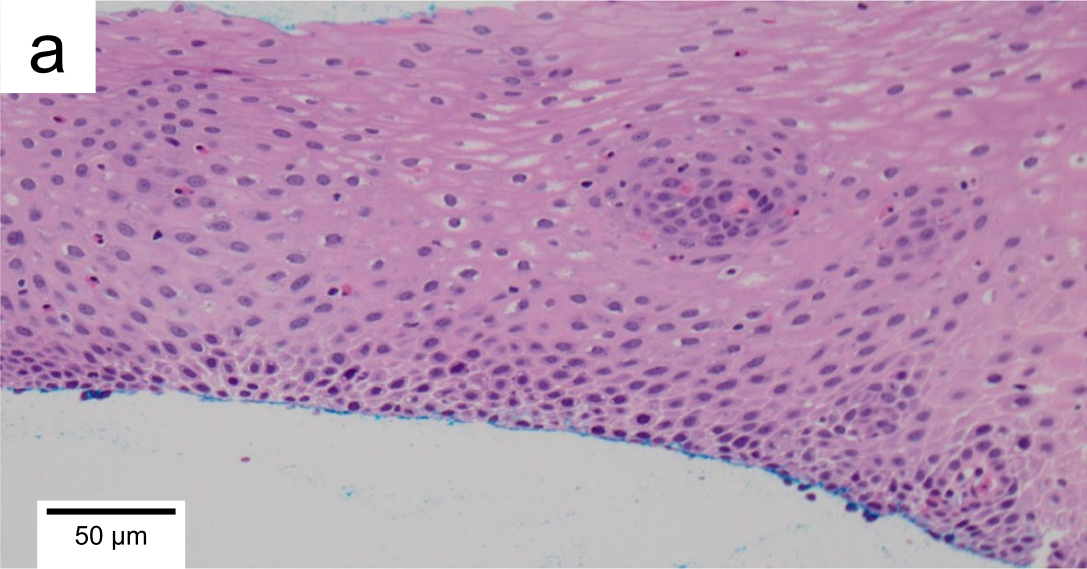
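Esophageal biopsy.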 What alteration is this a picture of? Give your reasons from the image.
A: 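Small cells with bright red-pink granular cytoplasm lie scattered among the squamous epithelial cells. These cells are distributed through the epithelium, many in the upper and middle layers.
Answer: eosinophilic infiltrate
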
